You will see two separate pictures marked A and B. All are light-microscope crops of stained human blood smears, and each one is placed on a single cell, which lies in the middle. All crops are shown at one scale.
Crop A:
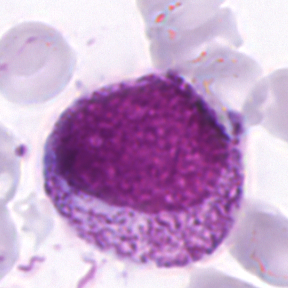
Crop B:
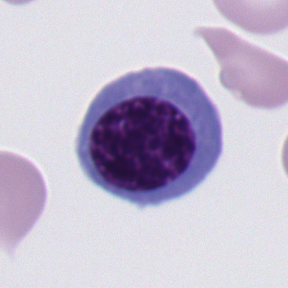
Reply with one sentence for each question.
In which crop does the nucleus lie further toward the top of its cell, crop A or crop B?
The nucleus in crop A lies further toward the top of its cell.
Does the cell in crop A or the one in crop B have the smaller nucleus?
It is the nucleus in crop B; the one in crop A has about 2.5 times its area.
